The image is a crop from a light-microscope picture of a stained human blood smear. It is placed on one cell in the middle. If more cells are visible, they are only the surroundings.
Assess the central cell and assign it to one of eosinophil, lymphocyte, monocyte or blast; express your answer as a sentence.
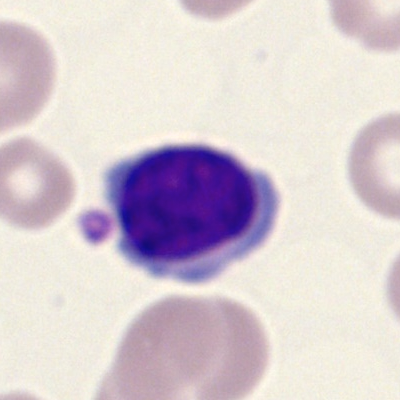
The middle cell in this particular crop is a lymphocyte.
